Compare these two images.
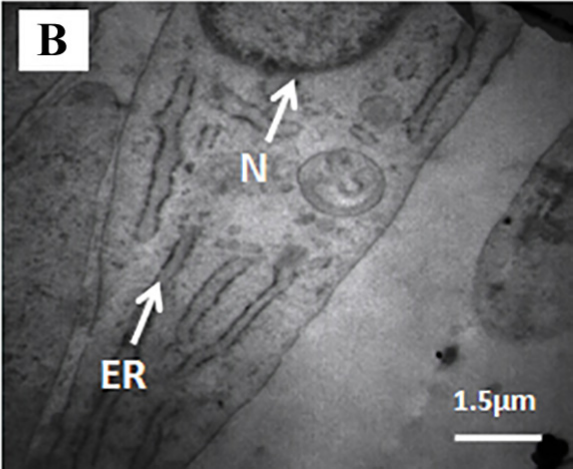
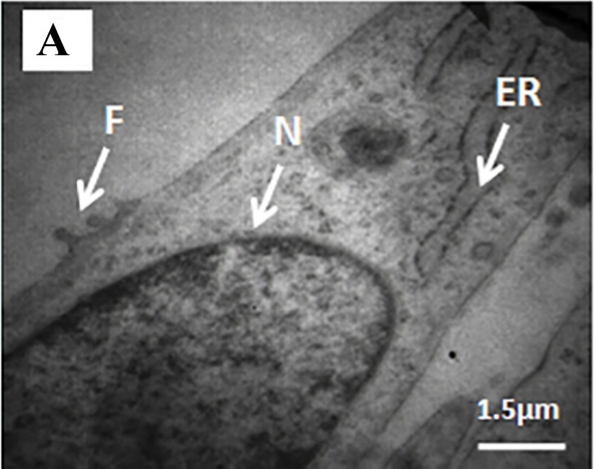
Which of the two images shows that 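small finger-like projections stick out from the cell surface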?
the second image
